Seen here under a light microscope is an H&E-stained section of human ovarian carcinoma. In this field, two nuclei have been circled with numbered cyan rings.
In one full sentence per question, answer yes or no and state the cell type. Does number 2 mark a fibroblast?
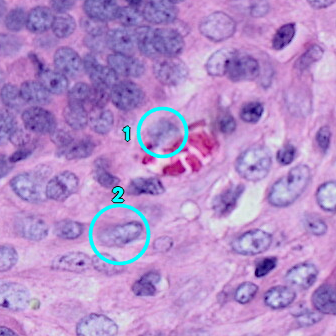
Yes, the cell given number 2 is a fibroblast.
